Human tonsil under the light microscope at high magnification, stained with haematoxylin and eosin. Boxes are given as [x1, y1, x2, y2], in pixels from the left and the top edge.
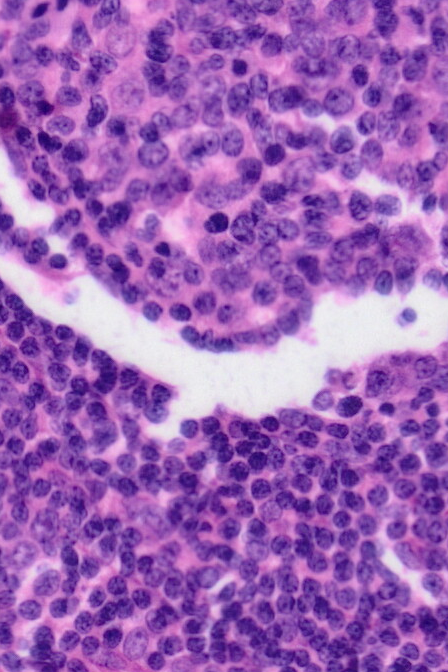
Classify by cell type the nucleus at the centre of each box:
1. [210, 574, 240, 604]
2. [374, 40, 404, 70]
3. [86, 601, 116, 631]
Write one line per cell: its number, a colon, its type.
1: small lymphocyte
2: proliferating B cell
3: small lymphocyte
